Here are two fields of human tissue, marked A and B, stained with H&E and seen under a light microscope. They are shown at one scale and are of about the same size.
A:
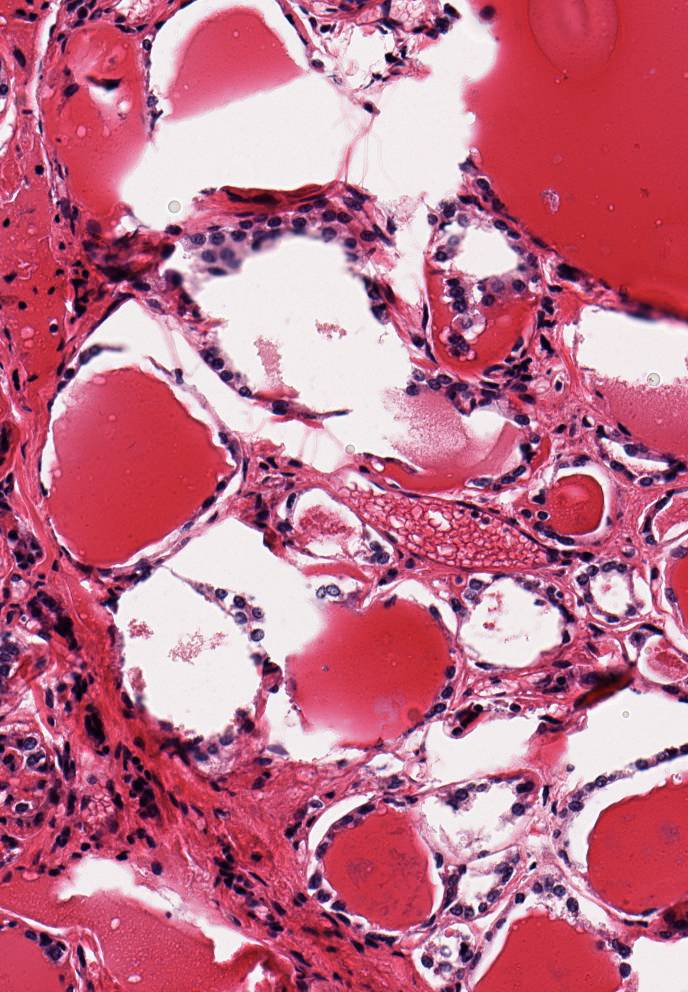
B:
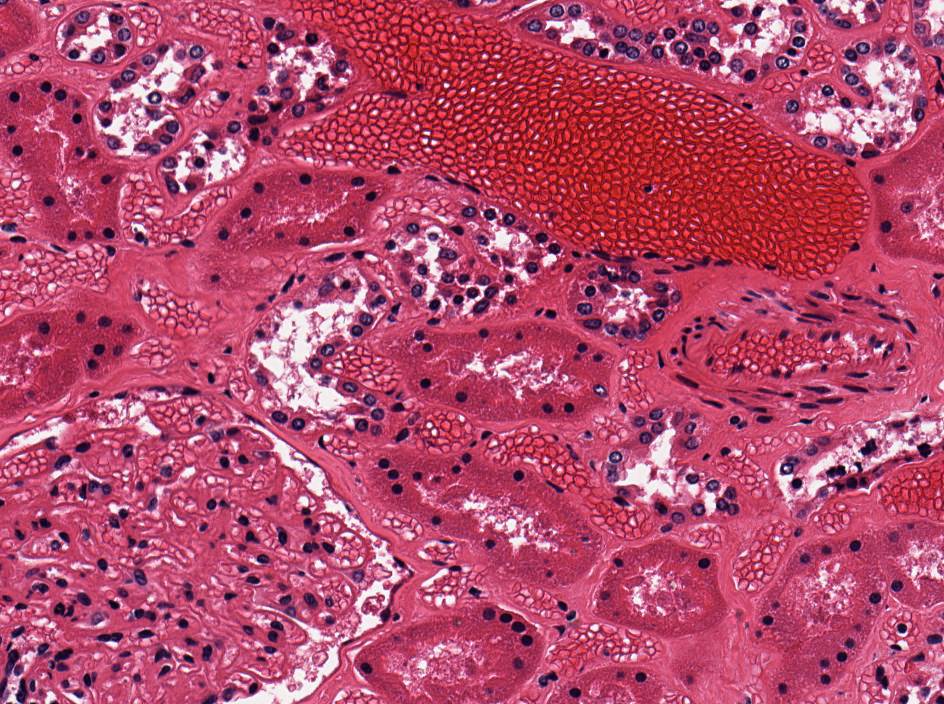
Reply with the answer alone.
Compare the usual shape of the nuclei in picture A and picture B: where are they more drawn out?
A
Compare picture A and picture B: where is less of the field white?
B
